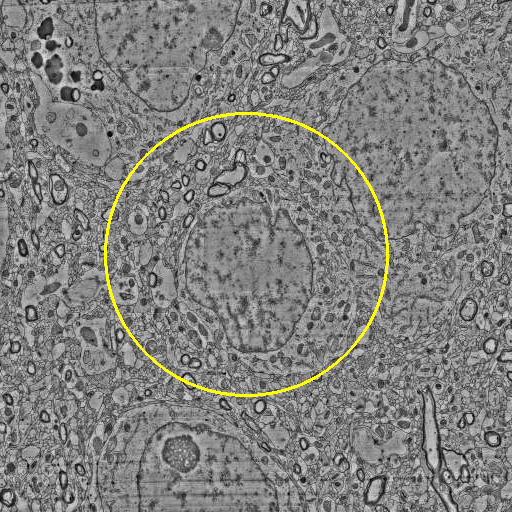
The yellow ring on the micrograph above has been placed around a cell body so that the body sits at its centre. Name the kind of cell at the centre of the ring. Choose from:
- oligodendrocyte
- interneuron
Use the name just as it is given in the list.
interneuron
